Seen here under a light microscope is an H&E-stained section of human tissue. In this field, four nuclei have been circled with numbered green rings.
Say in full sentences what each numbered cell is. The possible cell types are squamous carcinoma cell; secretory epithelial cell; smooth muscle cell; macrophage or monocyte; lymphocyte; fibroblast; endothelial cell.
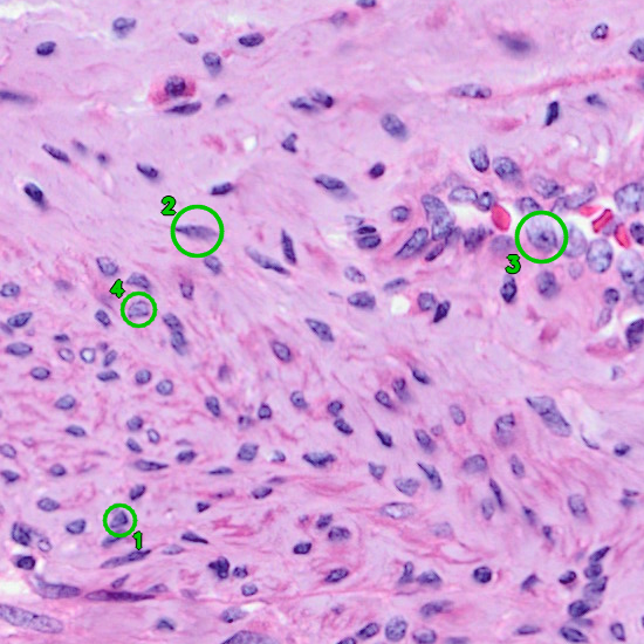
Cell 1 is a fibroblast, cell 2 is a fibroblast, cell 3 is an endothelial cell and cell 4 is a smooth muscle cell.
